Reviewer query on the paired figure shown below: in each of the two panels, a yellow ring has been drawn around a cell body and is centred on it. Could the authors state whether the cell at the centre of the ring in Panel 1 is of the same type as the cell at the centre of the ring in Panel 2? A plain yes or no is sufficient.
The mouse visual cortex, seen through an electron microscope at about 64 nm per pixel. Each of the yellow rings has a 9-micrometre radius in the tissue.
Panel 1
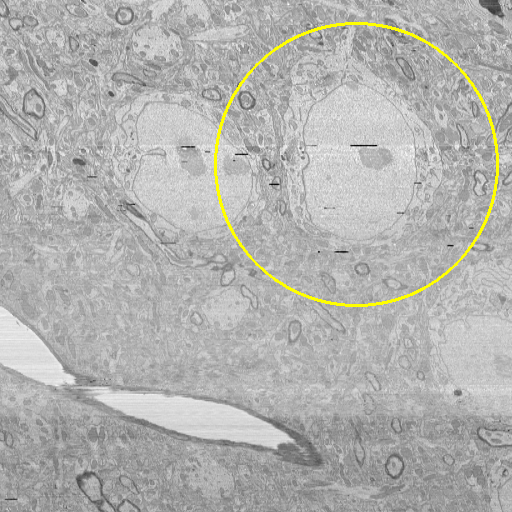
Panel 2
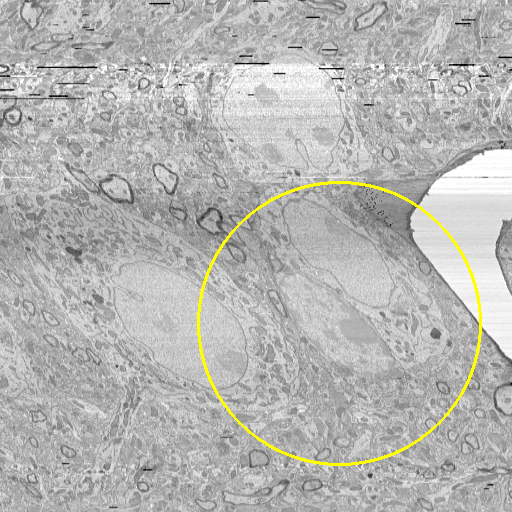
no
